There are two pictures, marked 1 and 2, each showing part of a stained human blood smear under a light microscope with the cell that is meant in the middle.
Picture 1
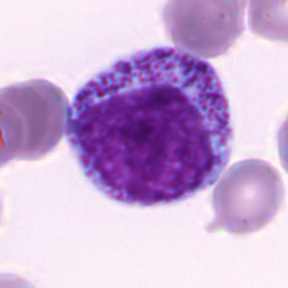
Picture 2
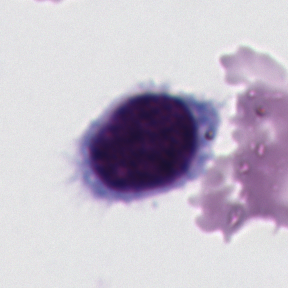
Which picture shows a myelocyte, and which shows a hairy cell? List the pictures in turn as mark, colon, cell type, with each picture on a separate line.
1: myelocyte
2: hairy cell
